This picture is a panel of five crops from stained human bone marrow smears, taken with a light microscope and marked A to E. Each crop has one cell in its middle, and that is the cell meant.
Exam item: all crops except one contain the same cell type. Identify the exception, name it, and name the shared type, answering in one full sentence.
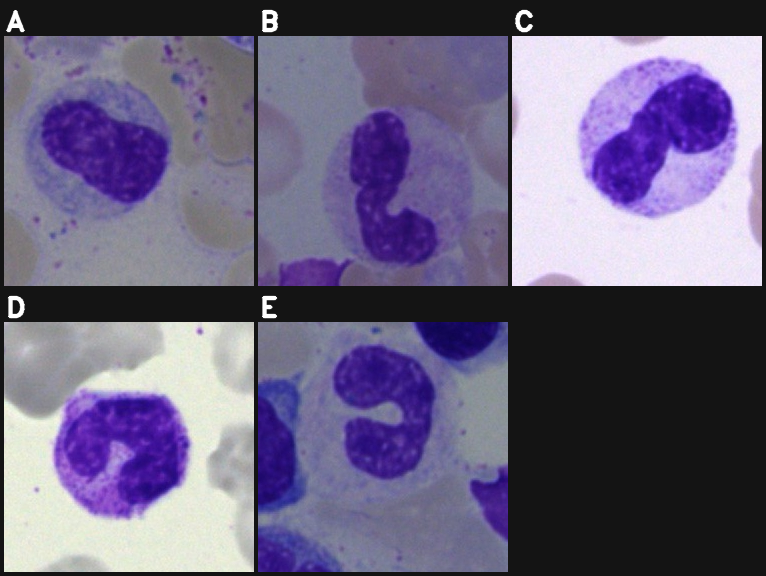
Crop B is the exception here: it is a segmented neutrophil, and the others are band neutrophils.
